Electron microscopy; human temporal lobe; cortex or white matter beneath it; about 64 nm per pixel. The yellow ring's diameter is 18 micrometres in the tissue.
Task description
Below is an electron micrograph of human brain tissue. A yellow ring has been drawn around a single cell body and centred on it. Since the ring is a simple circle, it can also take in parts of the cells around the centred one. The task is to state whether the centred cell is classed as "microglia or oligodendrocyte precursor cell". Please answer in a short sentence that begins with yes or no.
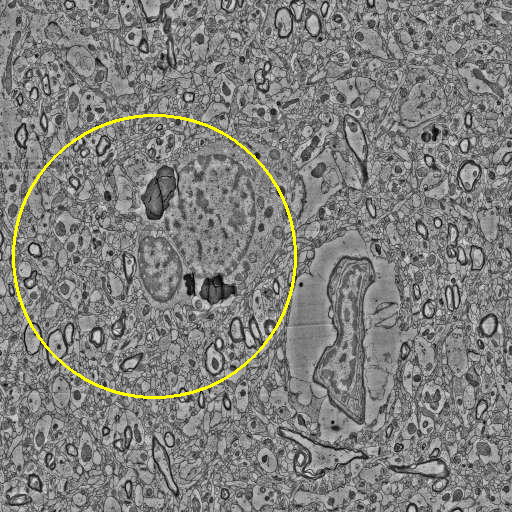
No, the centred cell is classed otherwise.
